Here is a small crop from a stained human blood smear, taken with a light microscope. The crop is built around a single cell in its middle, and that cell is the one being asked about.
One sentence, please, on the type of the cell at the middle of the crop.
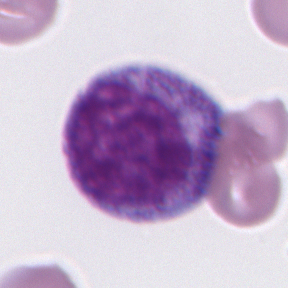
The center cell of this crop is a myelocyte.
